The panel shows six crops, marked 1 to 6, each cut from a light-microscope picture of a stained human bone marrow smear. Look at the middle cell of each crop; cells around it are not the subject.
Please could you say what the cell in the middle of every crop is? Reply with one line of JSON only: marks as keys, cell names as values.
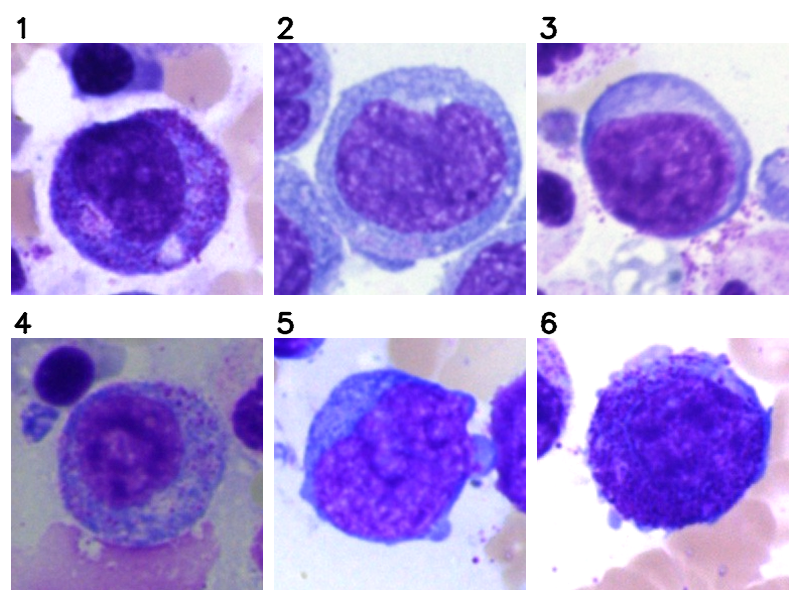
{"1": "promyelocyte", "2": "blast", "3": "blast", "4": "promyelocyte", "5": "blast", "6": "promyelocyte"}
